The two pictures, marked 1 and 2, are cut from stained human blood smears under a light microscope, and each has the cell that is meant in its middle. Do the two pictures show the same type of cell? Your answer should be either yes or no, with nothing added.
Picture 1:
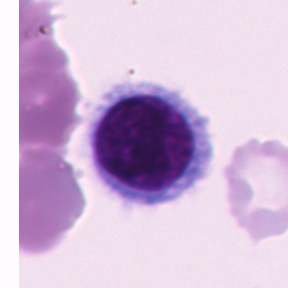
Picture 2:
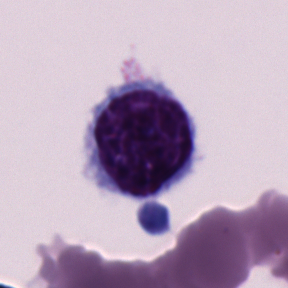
yes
